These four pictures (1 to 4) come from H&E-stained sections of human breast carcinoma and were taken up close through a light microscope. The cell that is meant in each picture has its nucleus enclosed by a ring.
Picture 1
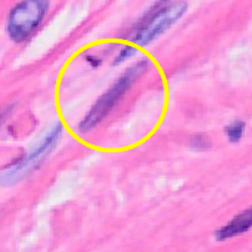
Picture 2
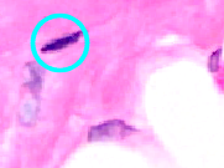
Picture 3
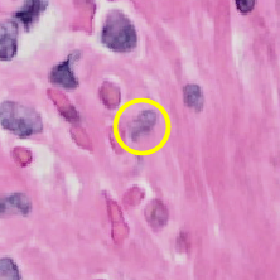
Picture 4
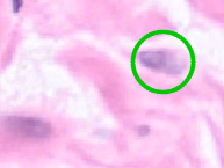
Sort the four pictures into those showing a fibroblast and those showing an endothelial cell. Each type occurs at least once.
1: endothelial cell
2: fibroblast
3: endothelial cell
4: fibroblast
